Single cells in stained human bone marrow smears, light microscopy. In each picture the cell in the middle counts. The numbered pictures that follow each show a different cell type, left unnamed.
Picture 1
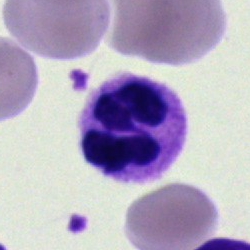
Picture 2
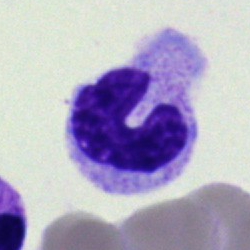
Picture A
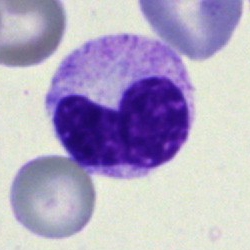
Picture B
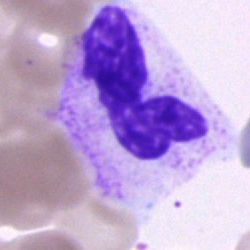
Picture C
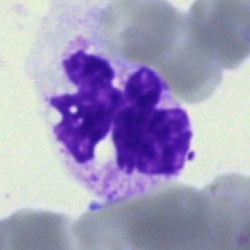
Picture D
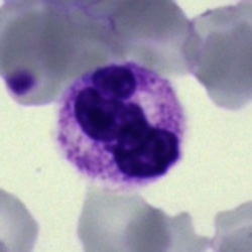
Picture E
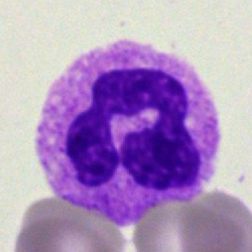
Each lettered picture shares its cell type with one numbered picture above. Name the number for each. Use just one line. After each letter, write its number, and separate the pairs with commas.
A 2, B 2, C 1, D 1, E 1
